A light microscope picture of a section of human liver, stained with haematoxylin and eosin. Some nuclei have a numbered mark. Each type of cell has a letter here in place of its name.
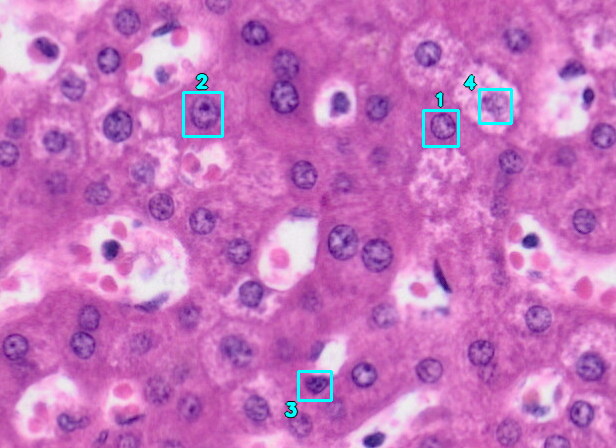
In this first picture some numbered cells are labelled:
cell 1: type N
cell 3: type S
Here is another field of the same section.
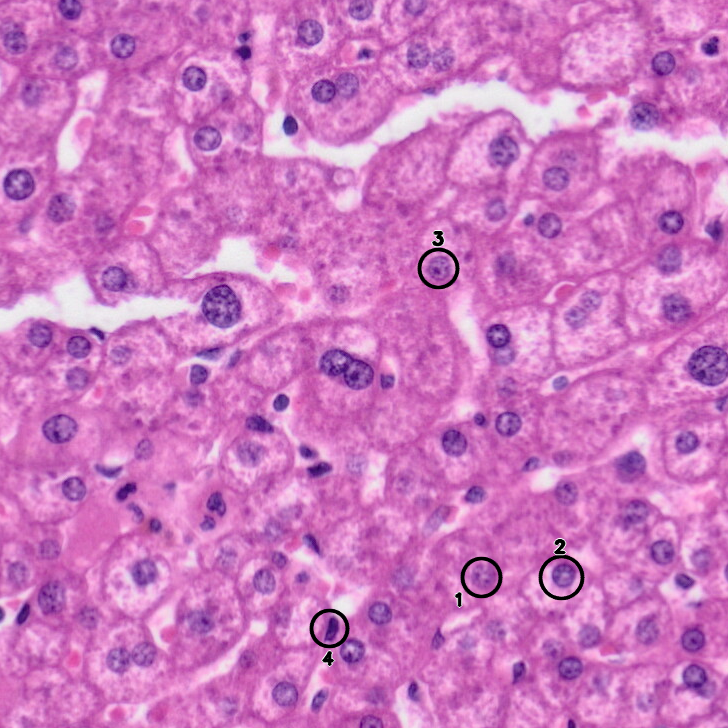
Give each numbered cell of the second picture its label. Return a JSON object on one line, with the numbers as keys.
{"1": "type N", "2": "type N", "3": "type N", "4": "type S"}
